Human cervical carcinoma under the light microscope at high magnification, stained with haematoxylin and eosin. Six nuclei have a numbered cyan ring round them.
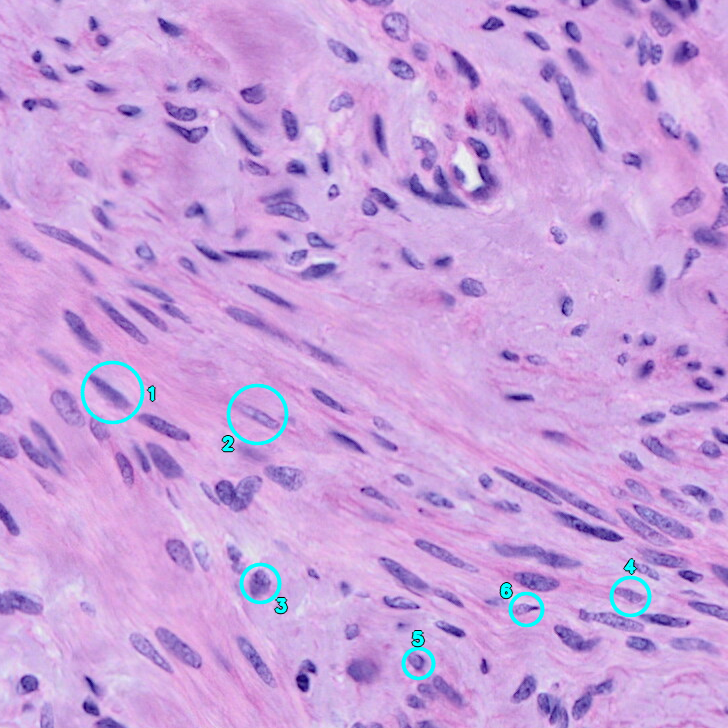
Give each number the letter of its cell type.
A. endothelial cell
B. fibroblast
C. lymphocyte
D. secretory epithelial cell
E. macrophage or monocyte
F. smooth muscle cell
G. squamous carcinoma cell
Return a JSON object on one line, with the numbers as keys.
{"1": "B", "2": "F", "3": "B", "4": "F", "5": "F", "6": "F"}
